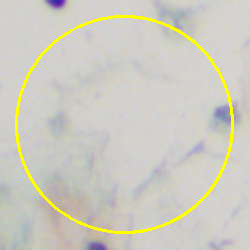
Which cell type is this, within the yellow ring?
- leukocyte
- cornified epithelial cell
Within the ring is a cornified epithelial cell.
